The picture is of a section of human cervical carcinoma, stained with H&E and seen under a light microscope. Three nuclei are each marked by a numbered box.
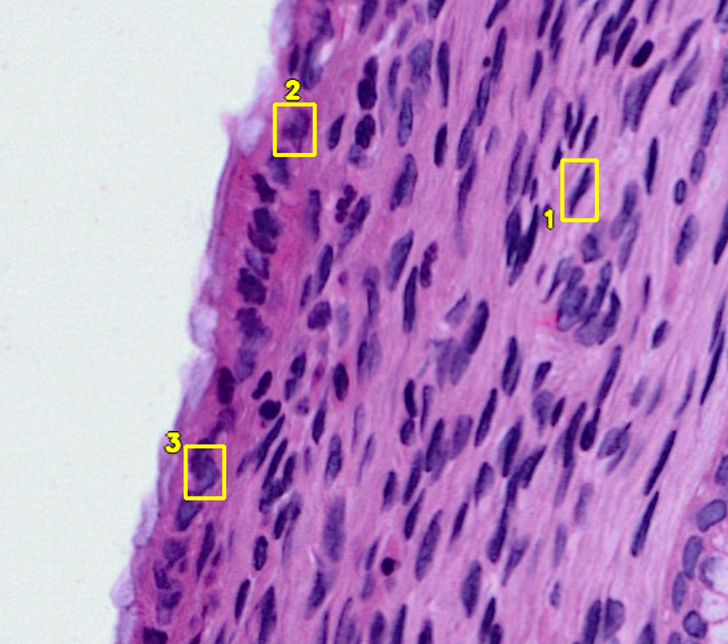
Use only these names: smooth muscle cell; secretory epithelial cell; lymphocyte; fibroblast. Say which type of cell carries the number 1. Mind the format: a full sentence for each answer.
Cell 1, as marked in the section, is a fibroblast.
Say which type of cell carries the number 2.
Identified as a secretory epithelial cell is the cell bearing the number 2.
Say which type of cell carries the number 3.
Number 3 is placed on a secretory epithelial cell here.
